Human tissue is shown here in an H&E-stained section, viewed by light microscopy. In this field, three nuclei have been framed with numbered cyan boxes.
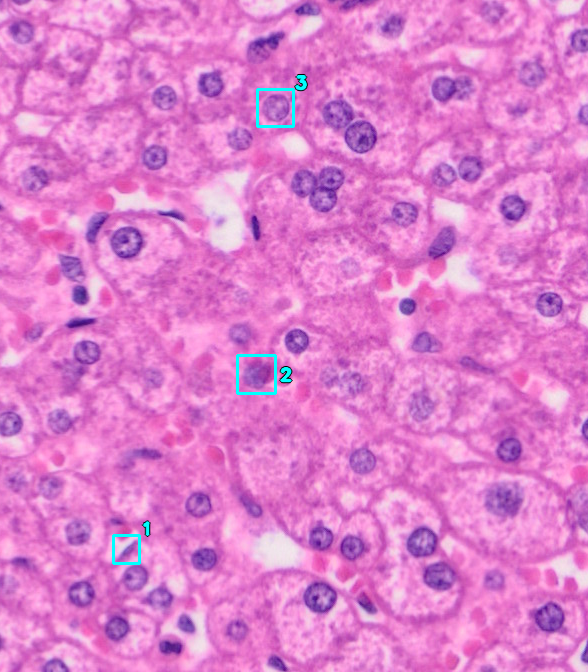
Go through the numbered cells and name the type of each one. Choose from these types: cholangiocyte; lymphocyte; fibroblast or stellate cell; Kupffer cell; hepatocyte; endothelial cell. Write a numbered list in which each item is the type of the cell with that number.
1. endothelial cell
2. endothelial cell
3. hepatocyte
